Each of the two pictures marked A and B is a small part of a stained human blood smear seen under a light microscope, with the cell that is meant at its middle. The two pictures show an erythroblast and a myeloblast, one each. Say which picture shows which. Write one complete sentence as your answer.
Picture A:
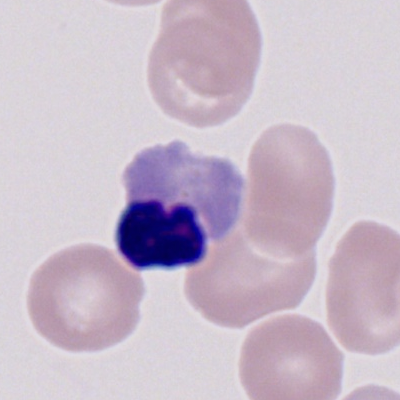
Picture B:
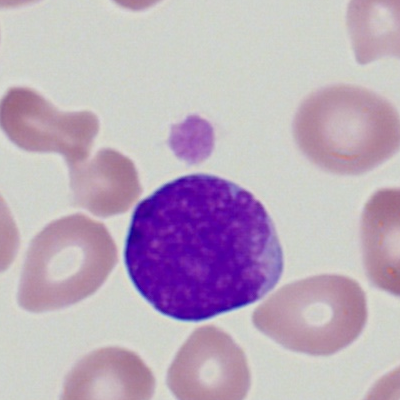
Picture A shows an erythroblast and picture B shows a myeloblast.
